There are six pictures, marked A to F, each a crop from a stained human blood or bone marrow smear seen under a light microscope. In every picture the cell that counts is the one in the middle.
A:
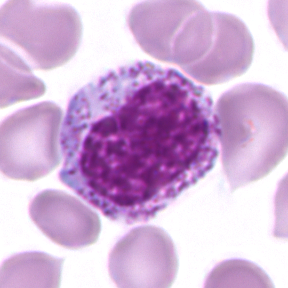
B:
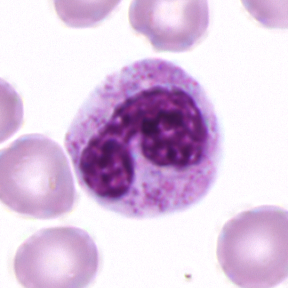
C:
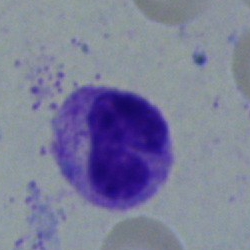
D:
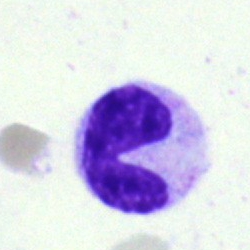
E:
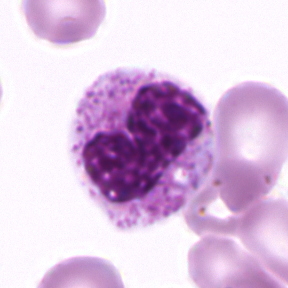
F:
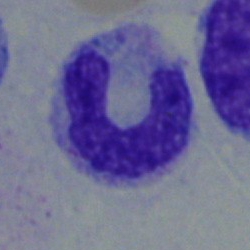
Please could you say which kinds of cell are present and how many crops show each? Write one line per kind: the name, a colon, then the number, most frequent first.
band neutrophil: 5
metamyelocyte: 1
